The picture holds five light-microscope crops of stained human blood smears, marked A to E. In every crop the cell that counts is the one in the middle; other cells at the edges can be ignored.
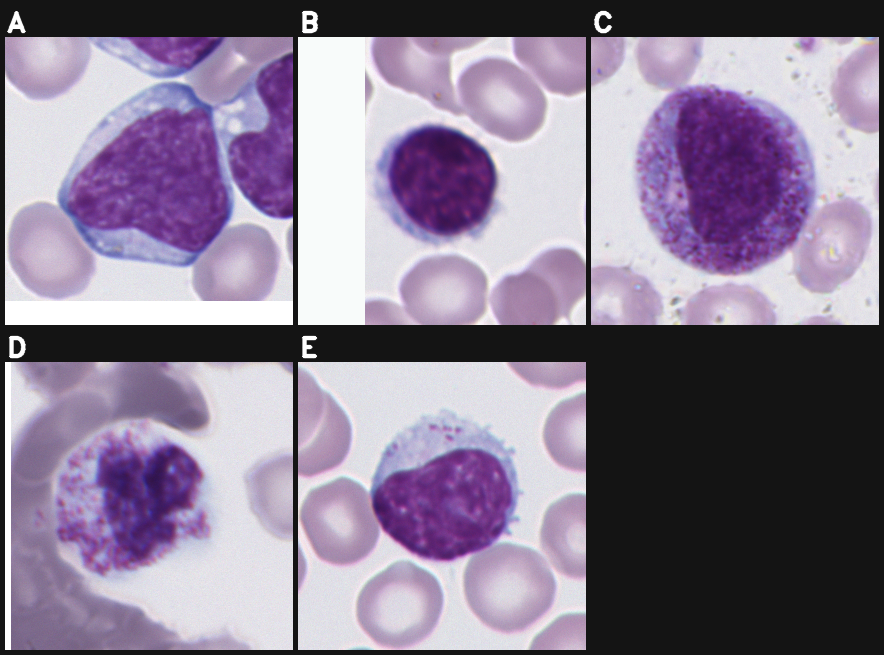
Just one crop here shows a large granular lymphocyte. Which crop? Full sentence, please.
Crop E is the crop featuring a large granular lymphocyte at its center.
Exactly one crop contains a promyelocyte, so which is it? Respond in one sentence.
Look at crop C; that is the one with a promyelocyte in its center.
